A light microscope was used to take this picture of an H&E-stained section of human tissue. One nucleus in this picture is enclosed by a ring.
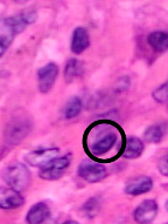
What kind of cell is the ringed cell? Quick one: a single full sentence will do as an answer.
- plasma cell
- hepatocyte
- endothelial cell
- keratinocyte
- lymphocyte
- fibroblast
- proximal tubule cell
Cell type answer for this item: the ringed cell is a lymphocyte.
